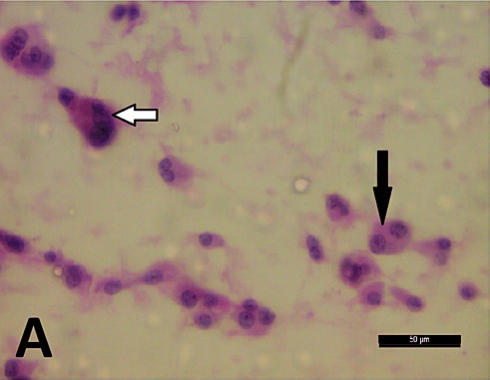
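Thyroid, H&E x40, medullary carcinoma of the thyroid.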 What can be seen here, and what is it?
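Many cells look plasmacytoid: they are round to oval, with a rim of pale purple cytoplasm and a nucleus pushed to one side. Some cells hold two nuclei. One larger cell has pinker cytoplasm and a dark cluster of several nuclei, making it a multinucleated cell. The nuclei are round and darkly stained. A few cells have short tapering cytoplasmic tails. No follicular groups or colloid are evident.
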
